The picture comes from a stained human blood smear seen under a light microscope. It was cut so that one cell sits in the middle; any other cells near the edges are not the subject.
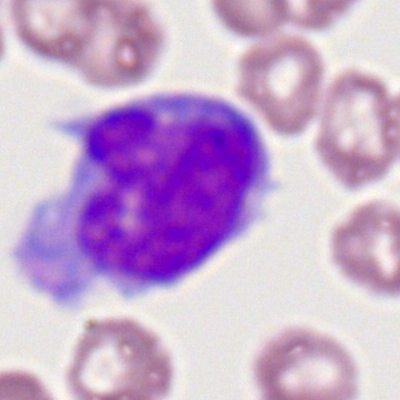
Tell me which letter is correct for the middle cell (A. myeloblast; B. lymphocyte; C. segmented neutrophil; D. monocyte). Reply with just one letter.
D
